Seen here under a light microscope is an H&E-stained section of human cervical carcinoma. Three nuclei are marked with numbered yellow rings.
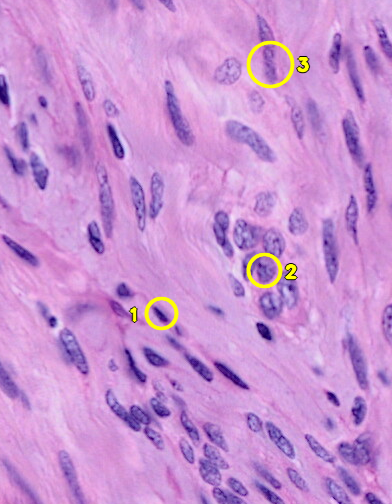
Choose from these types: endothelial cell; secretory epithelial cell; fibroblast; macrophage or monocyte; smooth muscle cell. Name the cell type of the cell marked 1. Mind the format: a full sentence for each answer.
The cell numbered 1 represents a fibroblast.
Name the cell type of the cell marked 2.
Cell 2, as marked in the section, is an endothelial cell.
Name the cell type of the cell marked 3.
In the marked set, the cell given number 3 is a smooth muscle cell.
